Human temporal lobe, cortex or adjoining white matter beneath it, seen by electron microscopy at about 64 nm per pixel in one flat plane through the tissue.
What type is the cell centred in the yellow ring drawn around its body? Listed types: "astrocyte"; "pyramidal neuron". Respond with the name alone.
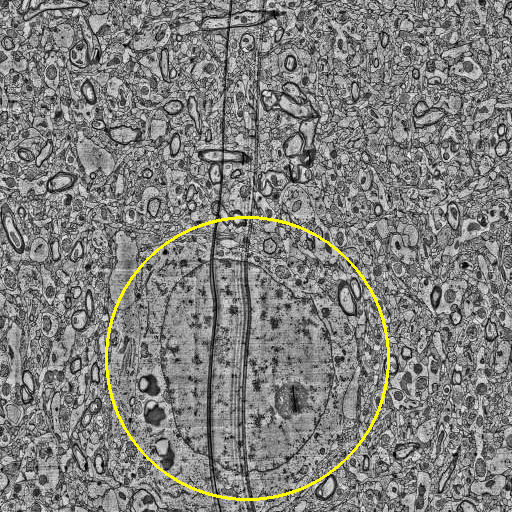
pyramidal neuron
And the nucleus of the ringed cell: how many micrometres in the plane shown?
About 14 micrometres by about 11 micrometres in this plane.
